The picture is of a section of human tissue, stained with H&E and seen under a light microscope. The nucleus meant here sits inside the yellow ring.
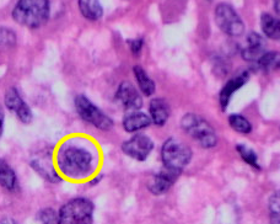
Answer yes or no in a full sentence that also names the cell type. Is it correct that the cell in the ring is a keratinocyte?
No, judged by cell type, the cell in the ring is a melanoma cell, not a keratinocyte.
